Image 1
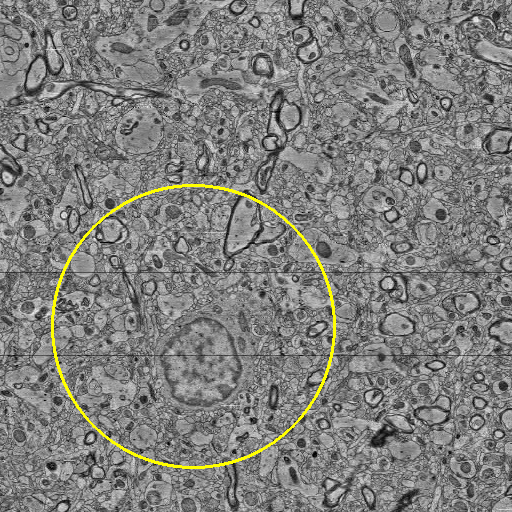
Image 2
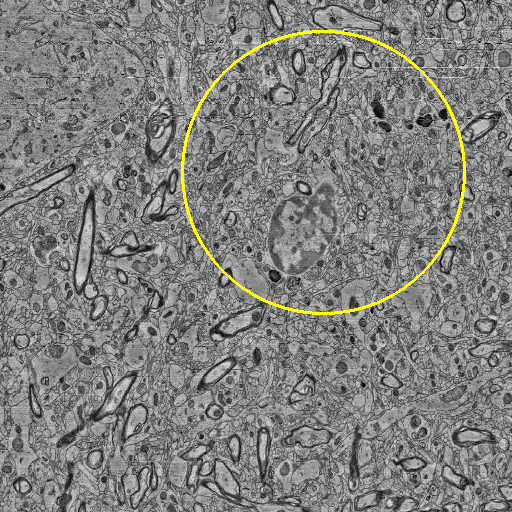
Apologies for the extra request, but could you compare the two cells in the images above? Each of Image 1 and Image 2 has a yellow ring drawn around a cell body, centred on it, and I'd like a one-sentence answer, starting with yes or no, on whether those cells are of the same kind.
No, the two cells are of two kinds.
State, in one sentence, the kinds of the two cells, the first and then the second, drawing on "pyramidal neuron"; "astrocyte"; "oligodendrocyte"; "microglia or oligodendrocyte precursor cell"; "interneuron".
The ring in the second picture is centred on a microglial cell or oligodendrocyte precursor cell, the ring in the first on an oligodendrocyte.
